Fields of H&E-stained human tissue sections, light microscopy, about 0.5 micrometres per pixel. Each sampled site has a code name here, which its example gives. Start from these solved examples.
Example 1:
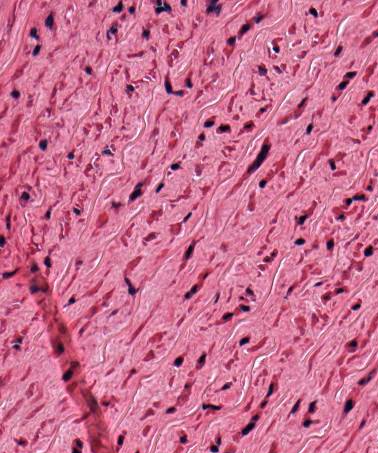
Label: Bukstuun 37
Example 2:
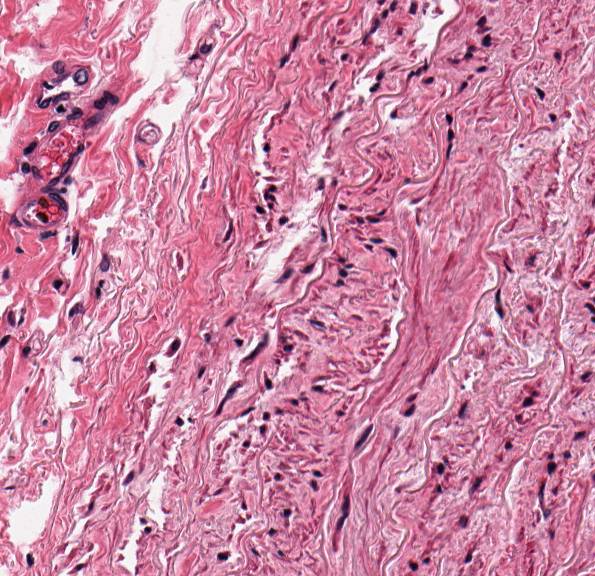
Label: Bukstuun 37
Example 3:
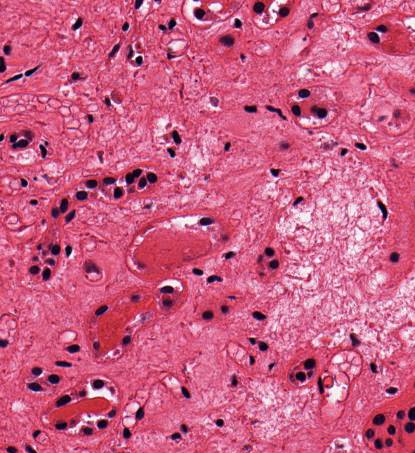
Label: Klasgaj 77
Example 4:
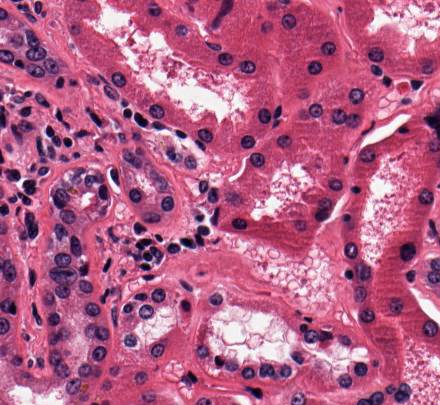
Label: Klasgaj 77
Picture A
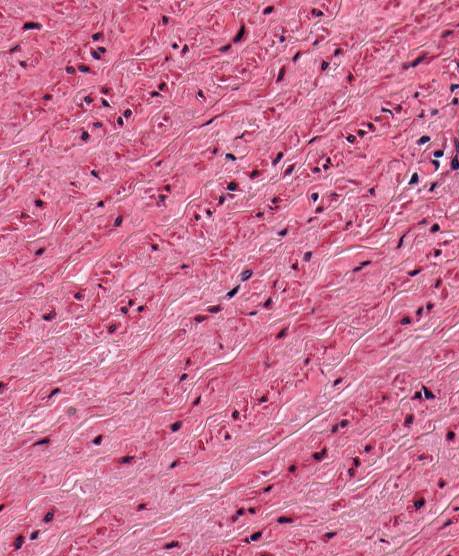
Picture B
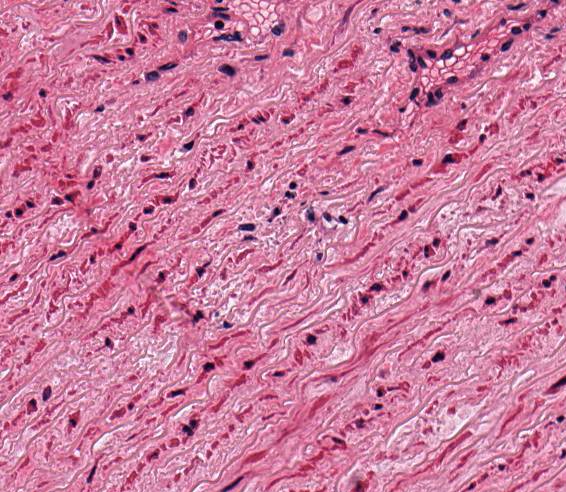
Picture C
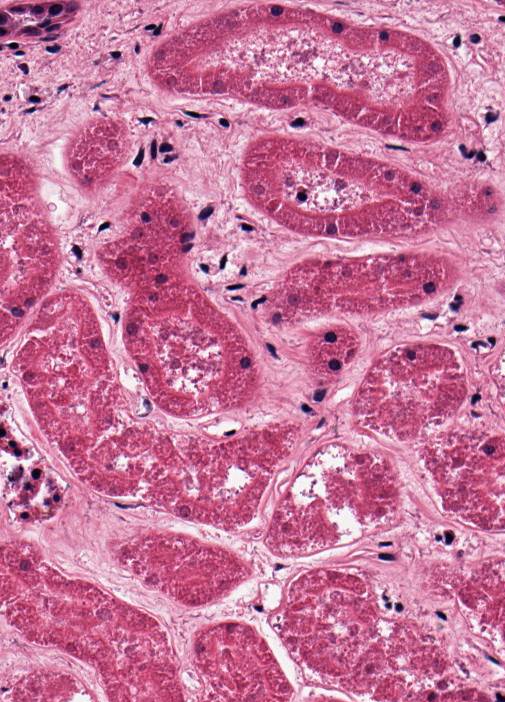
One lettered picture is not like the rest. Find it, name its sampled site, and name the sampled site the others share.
Exception: C, showing Klasgaj 77. Remaining pictures: Bukstuun 37.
